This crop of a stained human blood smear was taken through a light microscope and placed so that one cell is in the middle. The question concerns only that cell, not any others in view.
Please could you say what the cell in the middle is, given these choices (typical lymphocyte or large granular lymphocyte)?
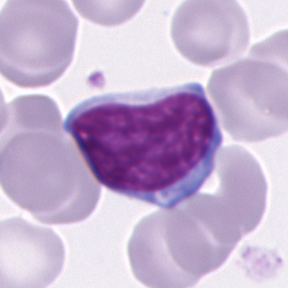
typical lymphocyte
